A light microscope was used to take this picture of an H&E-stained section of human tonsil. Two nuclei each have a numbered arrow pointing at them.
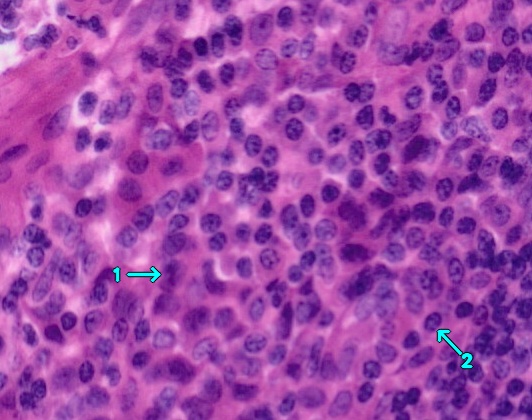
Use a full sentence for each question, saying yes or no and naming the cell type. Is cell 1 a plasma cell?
No, the cell tagged 1 is a squamous epithelial cell, not a plasma cell.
